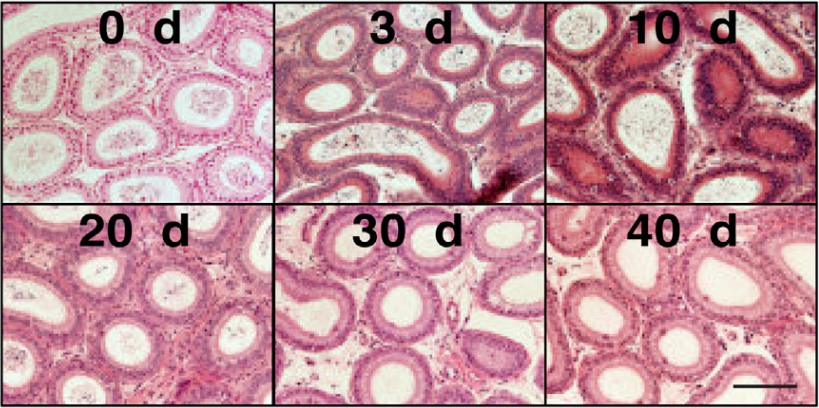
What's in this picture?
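Six fields of epididymis showing many cross-sectioned ducts. Each duct is lined by a tall epithelium with rows of purple nuclei toward the base, and the ducts are surrounded by thin pink connective tissue. In the first images the duct lumens hold a pale, loosely textured mass scattered with small dark dots and threads, as expected of stored sperm. In the middle images some lumens also contain dense pink material. In the last images the lumens are mostly clear and empty, while the lining epithelium still looks intact.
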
